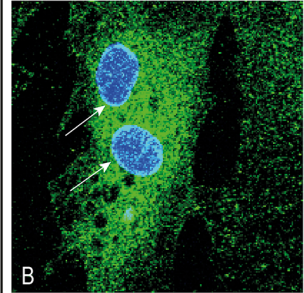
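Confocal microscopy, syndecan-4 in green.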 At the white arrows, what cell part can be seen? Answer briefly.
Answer: Nuclei.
